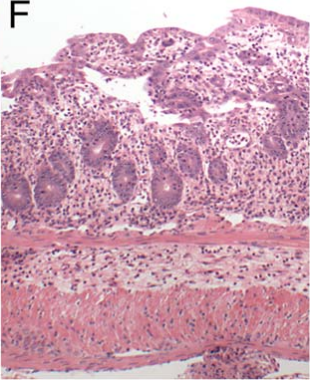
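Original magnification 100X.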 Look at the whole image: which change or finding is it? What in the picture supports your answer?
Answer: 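Crypt destruction and inflammation. Only a few scattered, irregular crypts remain. The mucosa is filled with densely packed small cells between crypts. The surface epithelium is irregular and disrupted.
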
